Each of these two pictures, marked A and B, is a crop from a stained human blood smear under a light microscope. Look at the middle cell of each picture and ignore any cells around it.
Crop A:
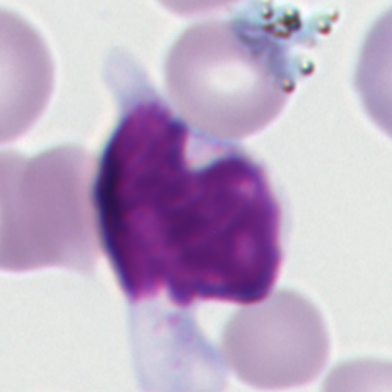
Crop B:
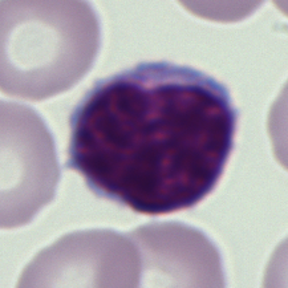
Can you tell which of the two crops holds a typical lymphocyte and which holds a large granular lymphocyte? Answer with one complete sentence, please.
Found in crop A is a large granular lymphocyte; found in crop B is a typical lymphocyte.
